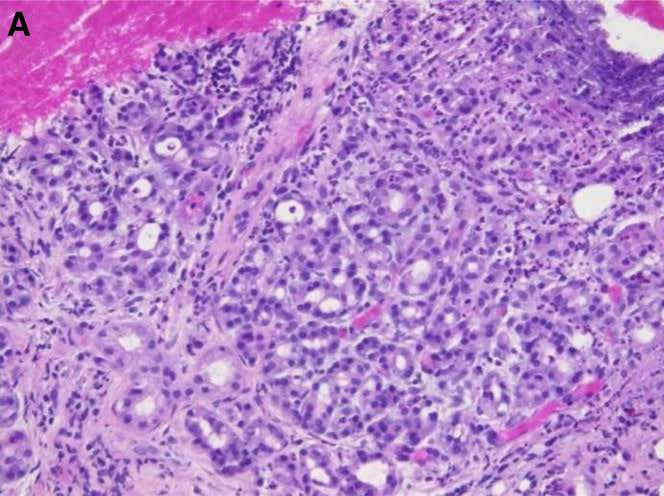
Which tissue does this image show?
Pancreatic parenchyma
